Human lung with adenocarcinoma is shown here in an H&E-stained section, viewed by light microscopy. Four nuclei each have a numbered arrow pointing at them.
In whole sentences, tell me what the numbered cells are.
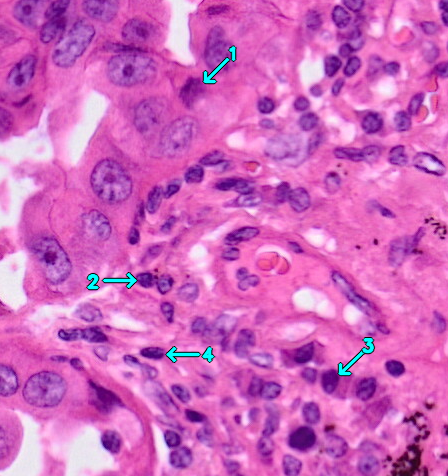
Cell 1 is a carcinoma cell. Cells 2 and 4 are lymphocytes. Cell 3 is a plasma cell.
